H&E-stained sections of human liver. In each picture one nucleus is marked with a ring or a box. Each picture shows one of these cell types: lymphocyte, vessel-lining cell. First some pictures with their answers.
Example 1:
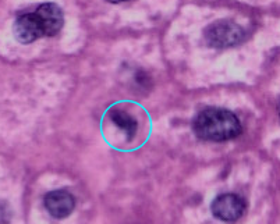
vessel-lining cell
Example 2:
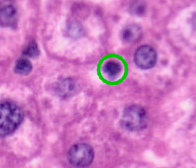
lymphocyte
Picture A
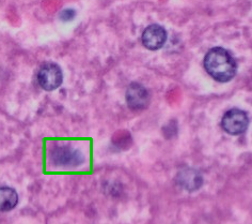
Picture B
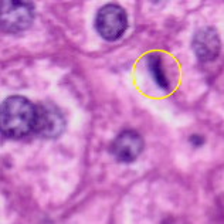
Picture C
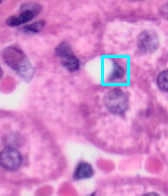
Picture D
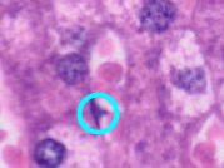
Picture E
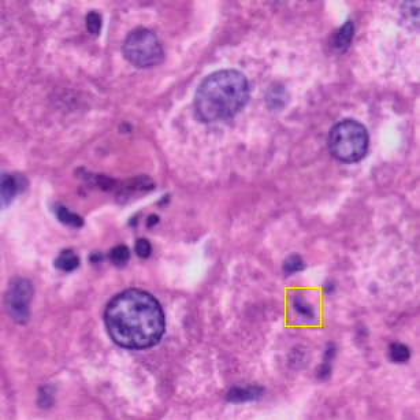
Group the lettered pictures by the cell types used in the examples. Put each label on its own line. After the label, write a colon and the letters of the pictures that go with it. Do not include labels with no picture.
vessel-lining cell: A, B, C, D, E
